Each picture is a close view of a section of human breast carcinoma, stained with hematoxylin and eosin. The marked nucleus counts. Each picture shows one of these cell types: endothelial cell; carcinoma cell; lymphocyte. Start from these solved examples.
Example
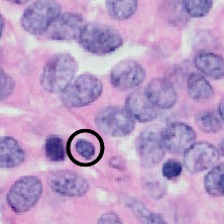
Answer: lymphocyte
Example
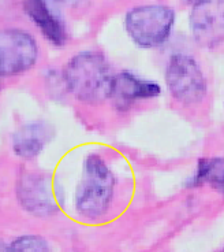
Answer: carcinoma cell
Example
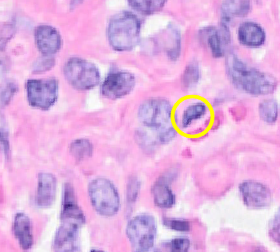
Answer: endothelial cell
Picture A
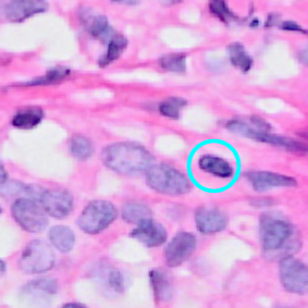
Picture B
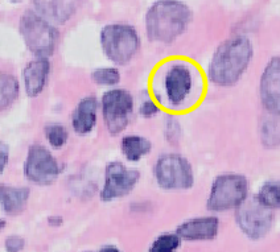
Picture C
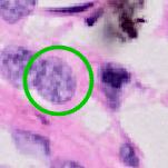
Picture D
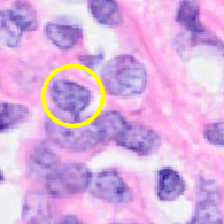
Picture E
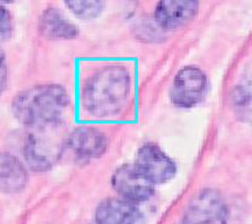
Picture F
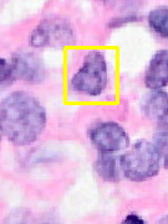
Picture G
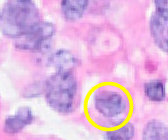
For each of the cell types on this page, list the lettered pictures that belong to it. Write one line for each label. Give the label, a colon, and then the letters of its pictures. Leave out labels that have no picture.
carcinoma cell: C, D, E, F, G
lymphocyte: A, B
